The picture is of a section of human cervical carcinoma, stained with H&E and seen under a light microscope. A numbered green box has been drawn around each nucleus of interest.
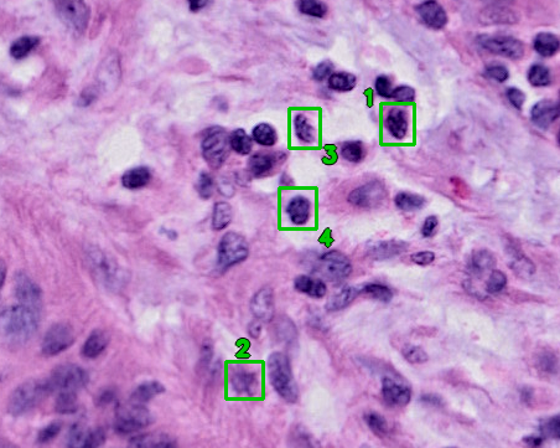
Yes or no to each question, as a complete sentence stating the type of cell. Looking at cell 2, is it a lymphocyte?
No, cell 2 does not count as a lymphocyte; it is a macrophage or monocyte.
